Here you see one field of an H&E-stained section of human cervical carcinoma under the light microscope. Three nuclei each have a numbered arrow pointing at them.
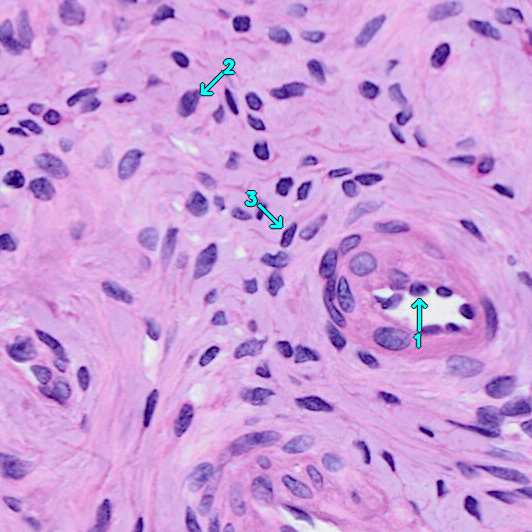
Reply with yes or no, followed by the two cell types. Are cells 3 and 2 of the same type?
Yes, both are fibroblasts.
